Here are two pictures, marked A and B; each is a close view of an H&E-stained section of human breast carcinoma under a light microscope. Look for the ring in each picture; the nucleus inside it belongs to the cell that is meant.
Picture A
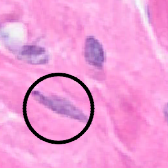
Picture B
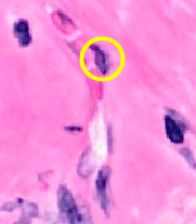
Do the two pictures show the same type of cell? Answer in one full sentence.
No, picture A shows a fibroblast and picture B shows an endothelial cell.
